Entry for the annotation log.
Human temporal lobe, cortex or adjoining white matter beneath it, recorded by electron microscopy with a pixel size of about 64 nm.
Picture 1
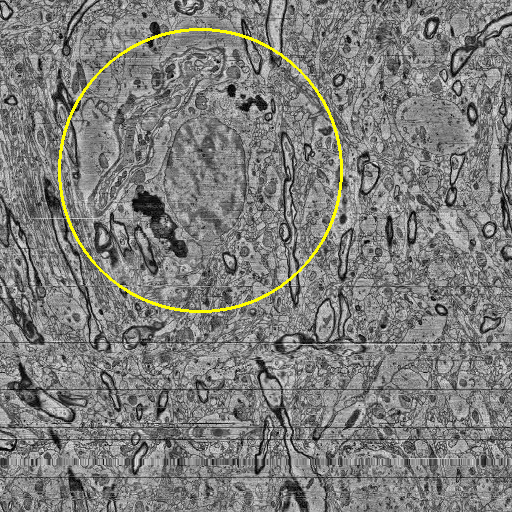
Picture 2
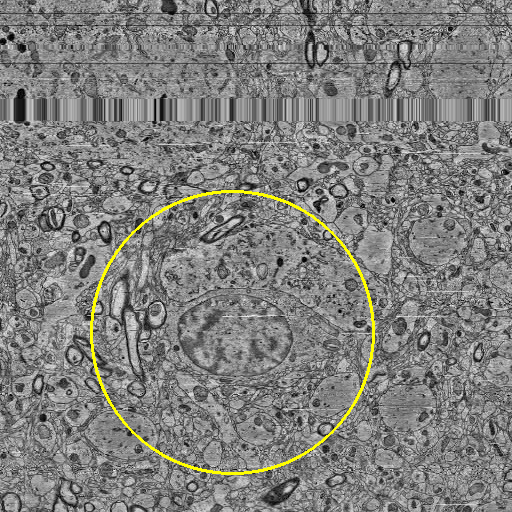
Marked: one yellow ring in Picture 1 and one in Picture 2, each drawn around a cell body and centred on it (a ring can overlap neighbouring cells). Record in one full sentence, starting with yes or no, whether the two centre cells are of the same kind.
Yes, both cells are of the same kind.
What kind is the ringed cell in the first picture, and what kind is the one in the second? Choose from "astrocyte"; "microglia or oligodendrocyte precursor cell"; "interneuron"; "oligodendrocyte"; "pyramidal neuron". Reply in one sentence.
Both rings mark an oligodendrocyte, one in each picture.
